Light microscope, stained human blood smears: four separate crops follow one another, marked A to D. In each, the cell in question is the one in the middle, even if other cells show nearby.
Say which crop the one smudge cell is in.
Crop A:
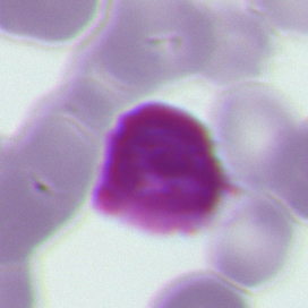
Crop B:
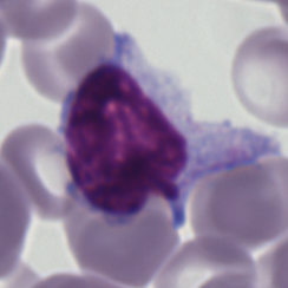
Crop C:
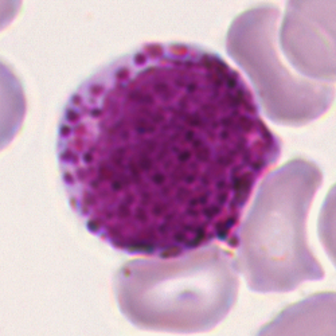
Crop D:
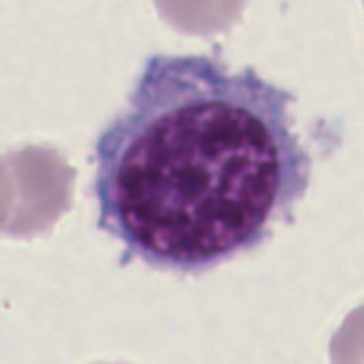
A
